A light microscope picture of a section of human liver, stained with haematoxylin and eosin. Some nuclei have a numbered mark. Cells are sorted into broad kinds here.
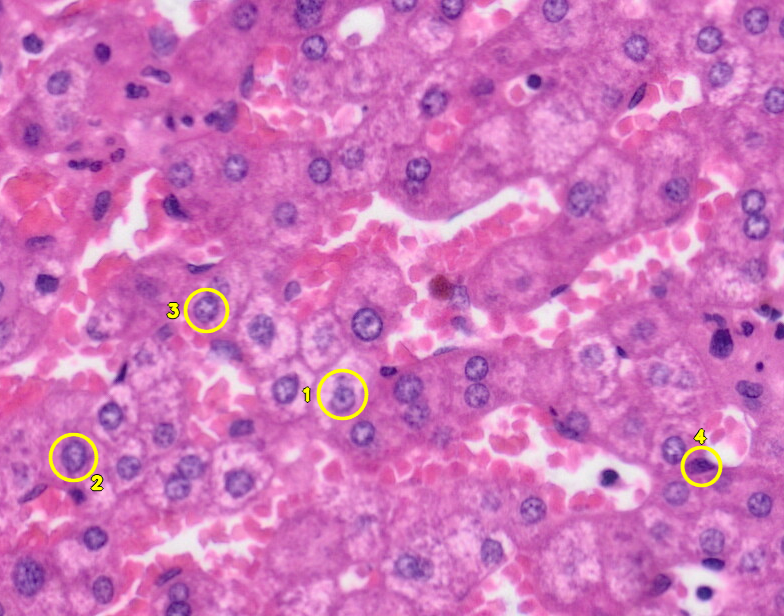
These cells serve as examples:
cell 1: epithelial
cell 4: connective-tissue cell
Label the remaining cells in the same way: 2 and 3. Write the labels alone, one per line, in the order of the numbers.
epithelial
epithelial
